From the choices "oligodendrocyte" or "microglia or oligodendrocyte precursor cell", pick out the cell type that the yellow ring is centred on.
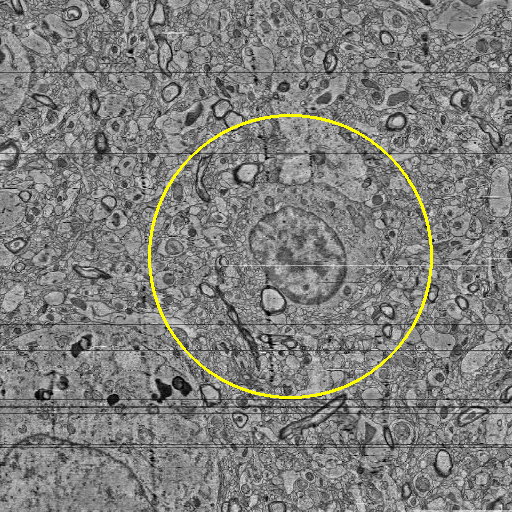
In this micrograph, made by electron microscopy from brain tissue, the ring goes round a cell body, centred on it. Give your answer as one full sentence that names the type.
The yellow ring is centred on an oligodendrocyte, whose cell body it encircles in the picture.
